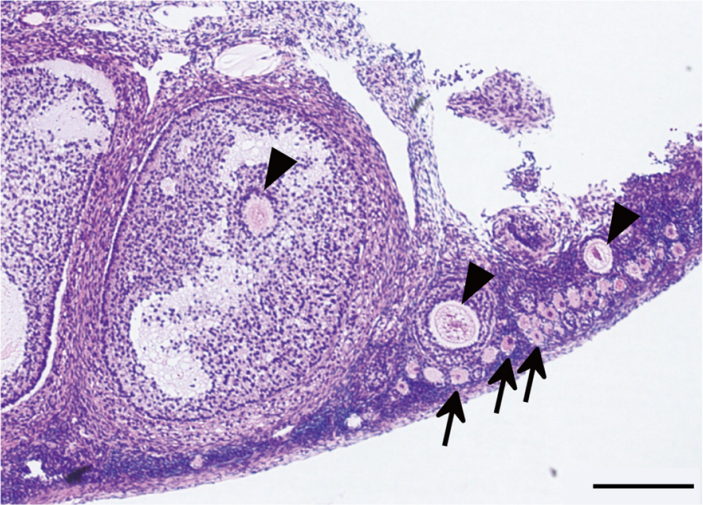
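This is a section of ovary showing follicles at several stages, with oocytes stained pale pink amid purple-nucleated follicle cells. On the left a large follicle with pale fluid-filled spaces holds a round oocyte embedded in a mound of cumulus cells, and the whole follicle is wrapped in a layered wall of spindle-shaped cells. Toward the right, smaller follicles each contain a single large oocyte with a clear rim, surrounded by several layers of small dark cells. Along the outer cortical surface runs a row of many small round oocytes, each with scanty surrounding cells, lying in dense purple stroma. These small undeveloped oocytes contrast clearly in size with the larger oocytes of the growing follicles.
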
